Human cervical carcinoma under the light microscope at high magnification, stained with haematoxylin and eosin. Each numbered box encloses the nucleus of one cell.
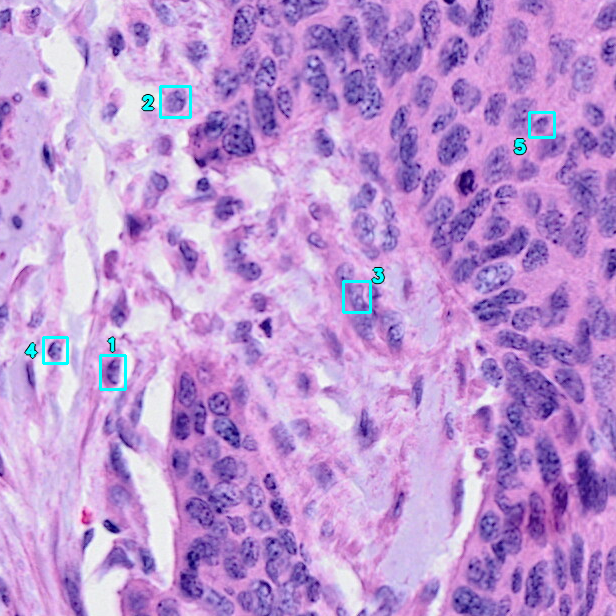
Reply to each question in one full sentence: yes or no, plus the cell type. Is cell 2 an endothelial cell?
No, cell 2 is classified as a macrophage or monocyte rather than an endothelial cell.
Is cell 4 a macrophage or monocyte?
No, cell 4 should be classed as a lymphocyte, not as a macrophage or monocyte.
